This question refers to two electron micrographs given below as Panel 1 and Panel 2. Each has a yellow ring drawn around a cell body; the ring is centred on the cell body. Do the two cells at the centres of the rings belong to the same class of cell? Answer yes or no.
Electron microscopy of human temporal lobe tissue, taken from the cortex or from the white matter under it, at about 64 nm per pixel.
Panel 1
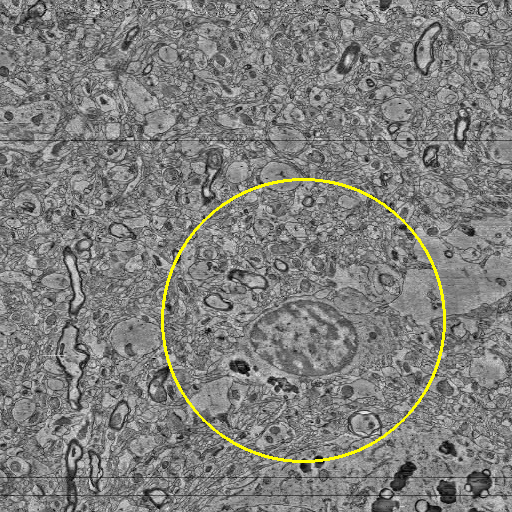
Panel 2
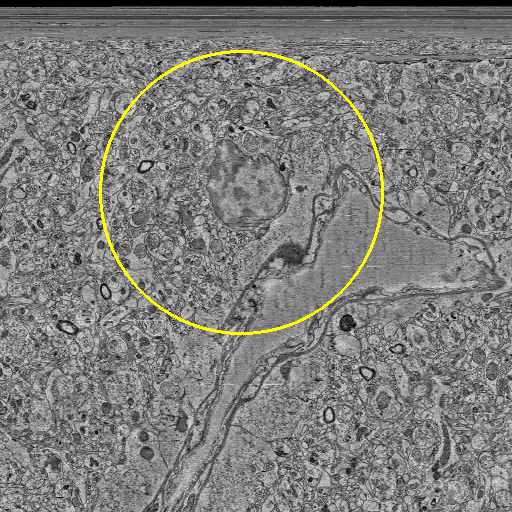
yes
